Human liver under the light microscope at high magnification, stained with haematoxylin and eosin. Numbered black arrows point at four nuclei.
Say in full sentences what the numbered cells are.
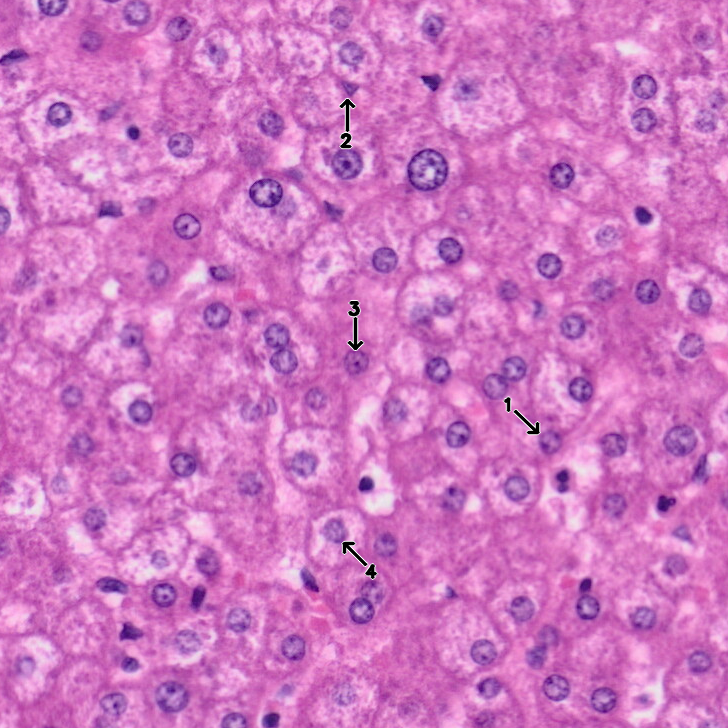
Cells 1, 3 and 4 are hepatocytes. Cell 2 is an endothelial cell.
